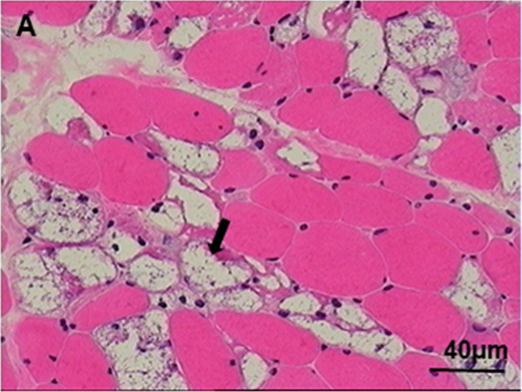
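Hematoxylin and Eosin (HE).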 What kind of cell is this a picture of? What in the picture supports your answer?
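Large polygonal to oval pink cross-sectioned profiles packed side by side. Small dark nuclei sit at the edges of the profiles. Thin pale connective tissue lies between the profiles.
Hence: muscle fibers.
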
